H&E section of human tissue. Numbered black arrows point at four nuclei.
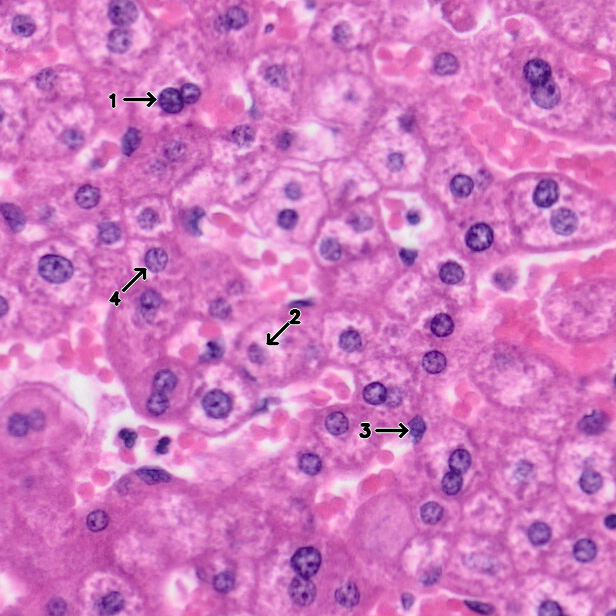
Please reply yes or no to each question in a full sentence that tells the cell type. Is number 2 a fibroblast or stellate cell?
No, what is marked as number 2 is a hepatocyte rather than a fibroblast or stellate cell.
